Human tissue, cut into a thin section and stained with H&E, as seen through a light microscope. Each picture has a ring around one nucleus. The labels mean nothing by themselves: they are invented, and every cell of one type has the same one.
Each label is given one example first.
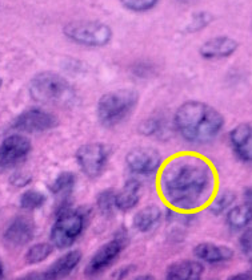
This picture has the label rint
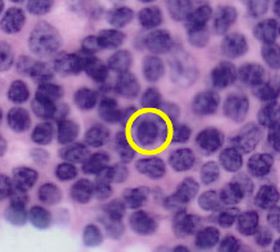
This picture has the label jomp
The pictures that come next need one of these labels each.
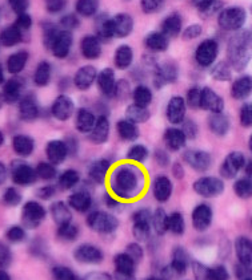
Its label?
jomp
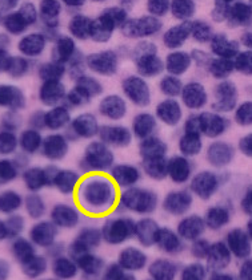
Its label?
jomp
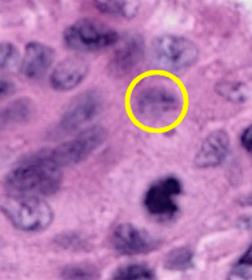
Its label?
rint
